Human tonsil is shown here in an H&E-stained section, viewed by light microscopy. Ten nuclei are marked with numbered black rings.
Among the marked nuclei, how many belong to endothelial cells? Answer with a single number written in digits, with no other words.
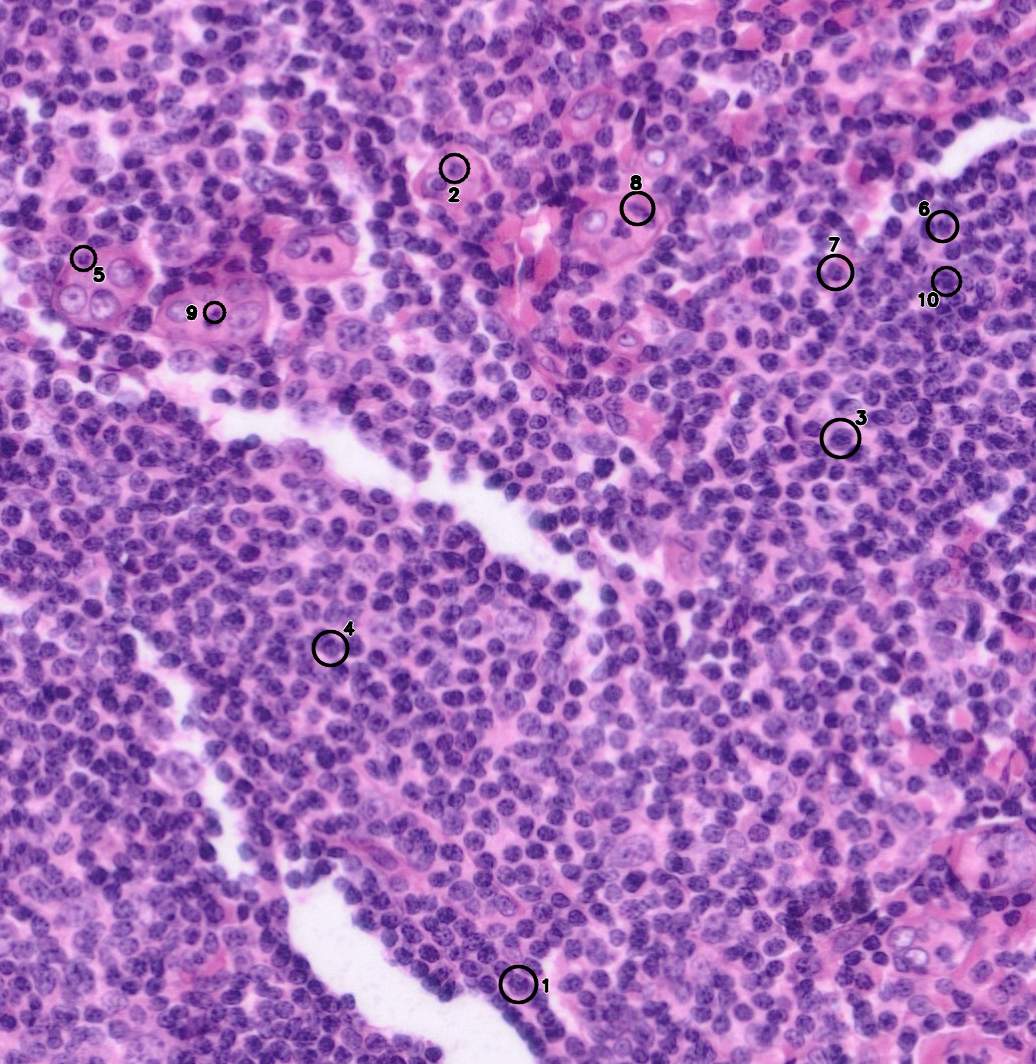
4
